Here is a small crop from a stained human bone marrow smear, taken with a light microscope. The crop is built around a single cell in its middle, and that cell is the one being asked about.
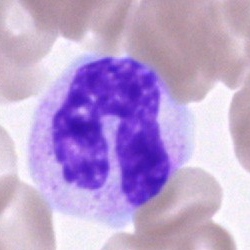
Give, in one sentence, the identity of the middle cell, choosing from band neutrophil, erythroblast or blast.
Answering briefly, the cell in the middle is a band neutrophil.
